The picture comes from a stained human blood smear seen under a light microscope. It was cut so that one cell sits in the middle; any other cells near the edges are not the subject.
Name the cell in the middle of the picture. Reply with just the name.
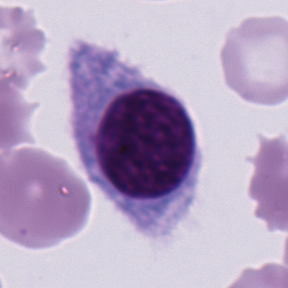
hairy cell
